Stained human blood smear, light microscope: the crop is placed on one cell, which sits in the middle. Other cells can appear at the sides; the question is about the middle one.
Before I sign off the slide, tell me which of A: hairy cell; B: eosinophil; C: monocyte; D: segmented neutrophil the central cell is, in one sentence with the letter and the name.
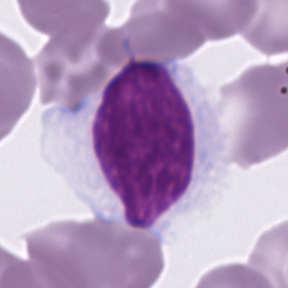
Option A gets it right: the cell in the middle is a hairy cell.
